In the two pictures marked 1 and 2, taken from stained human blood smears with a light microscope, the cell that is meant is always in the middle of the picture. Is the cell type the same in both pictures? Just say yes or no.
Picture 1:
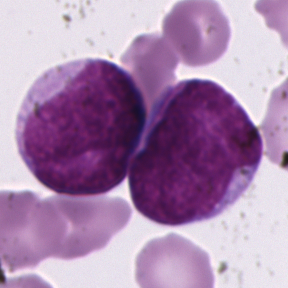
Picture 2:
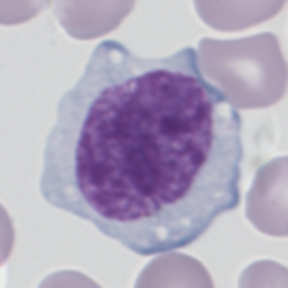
yes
